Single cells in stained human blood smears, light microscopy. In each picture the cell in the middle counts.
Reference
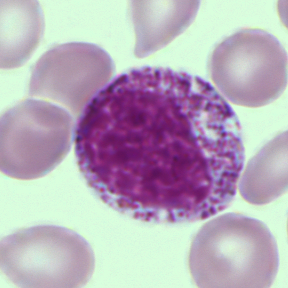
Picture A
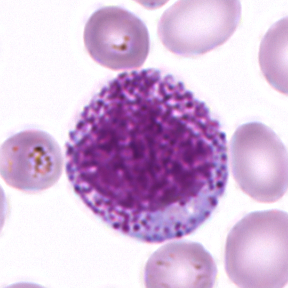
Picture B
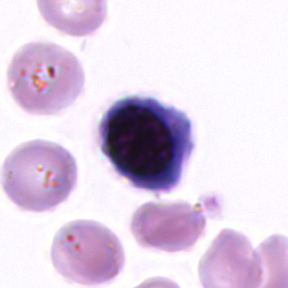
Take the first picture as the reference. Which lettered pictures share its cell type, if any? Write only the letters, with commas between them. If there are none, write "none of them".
A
